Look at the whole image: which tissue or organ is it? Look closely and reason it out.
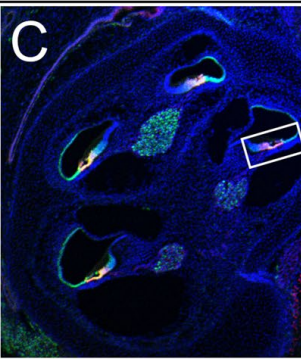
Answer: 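Several cross-sectioned turns of a coiled duct are stacked around a central core. Each turn has open fluid spaces with a thin epithelial lining on one wall. That points to this answer: cochlea.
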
